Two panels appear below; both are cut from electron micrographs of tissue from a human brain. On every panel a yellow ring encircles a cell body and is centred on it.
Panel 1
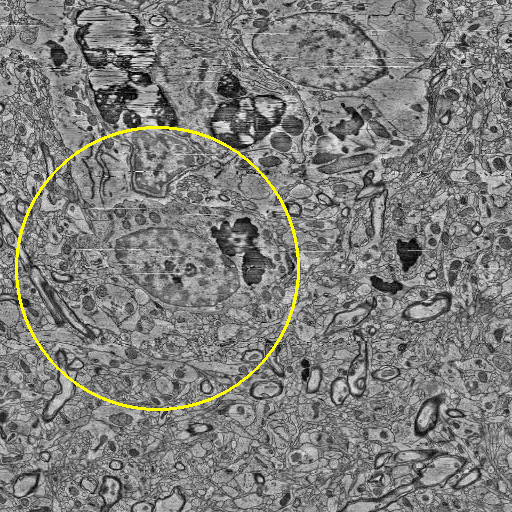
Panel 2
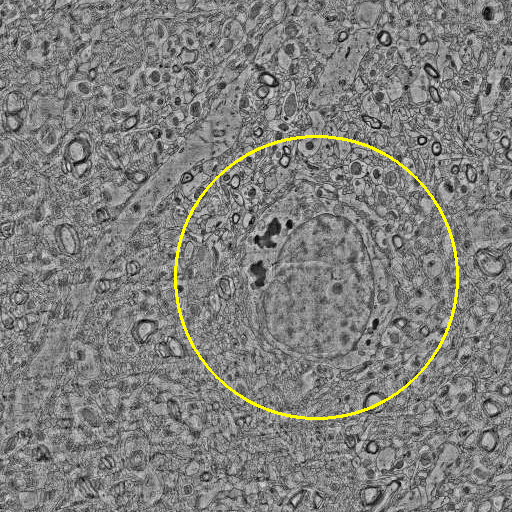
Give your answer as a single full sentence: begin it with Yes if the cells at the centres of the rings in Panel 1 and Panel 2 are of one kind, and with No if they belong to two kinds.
No, the cells in the middle of the rings in Panels 1 and 2 are of two kinds.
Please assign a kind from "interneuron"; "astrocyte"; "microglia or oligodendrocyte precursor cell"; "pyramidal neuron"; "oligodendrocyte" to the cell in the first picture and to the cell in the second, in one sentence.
In the first picture we have an oligodendrocyte, and in the second, an interneuron.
